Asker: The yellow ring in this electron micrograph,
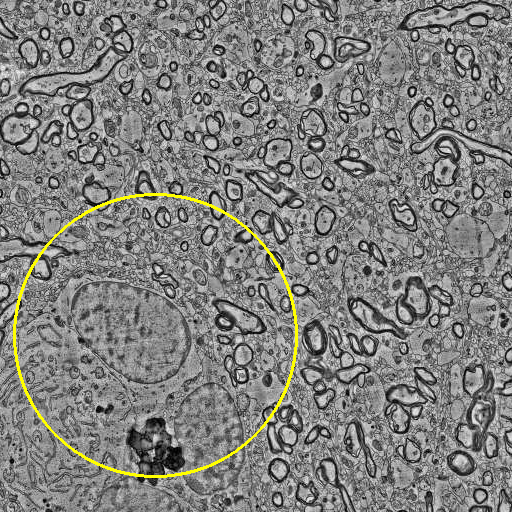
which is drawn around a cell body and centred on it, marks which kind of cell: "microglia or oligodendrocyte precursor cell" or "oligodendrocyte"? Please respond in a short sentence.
The marked cell is a microglial cell or oligodendrocyte precursor cell.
